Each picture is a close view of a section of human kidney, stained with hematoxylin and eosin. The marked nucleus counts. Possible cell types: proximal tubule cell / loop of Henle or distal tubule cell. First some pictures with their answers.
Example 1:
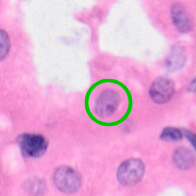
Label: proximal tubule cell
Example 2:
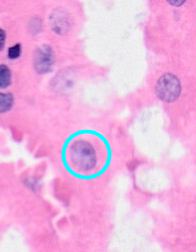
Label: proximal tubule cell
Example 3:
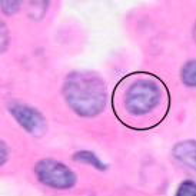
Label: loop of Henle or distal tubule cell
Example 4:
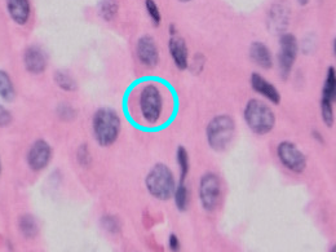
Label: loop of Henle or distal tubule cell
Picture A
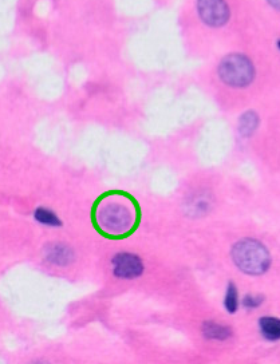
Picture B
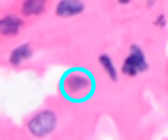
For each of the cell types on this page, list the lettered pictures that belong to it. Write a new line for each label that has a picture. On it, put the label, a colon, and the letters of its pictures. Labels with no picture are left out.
proximal tubule cell: A
loop of Henle or distal tubule cell: B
